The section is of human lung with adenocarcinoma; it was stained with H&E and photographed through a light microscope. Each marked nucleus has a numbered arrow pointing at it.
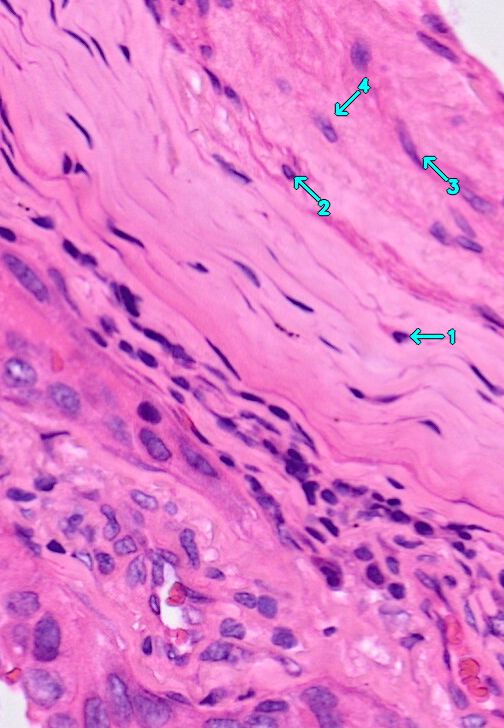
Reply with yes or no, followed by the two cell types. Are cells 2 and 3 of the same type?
Yes, the cells bearing numbers 2 and 3 are both smooth muscle cells or pericytes.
